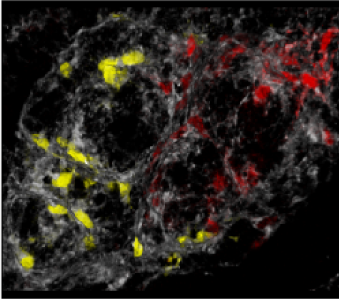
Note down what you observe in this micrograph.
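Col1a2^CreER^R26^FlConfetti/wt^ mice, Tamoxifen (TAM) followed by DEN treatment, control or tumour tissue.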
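The grey meshwork is not uniform: it forms bright strands that outline rounded, darker spaces, so the stroma looks like a network wrapping around compartments. The yellow fibroblasts gather in a group on the left side, each a small oval or spindle-shaped cell body. The red fibroblasts gather in a separate group toward the upper right and appear more elongated, with fine processes spreading along the grey strands.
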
